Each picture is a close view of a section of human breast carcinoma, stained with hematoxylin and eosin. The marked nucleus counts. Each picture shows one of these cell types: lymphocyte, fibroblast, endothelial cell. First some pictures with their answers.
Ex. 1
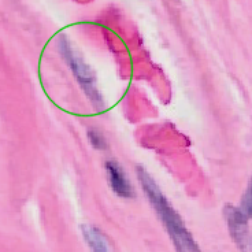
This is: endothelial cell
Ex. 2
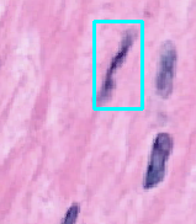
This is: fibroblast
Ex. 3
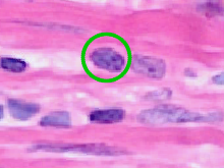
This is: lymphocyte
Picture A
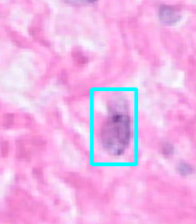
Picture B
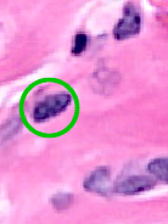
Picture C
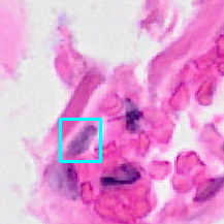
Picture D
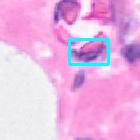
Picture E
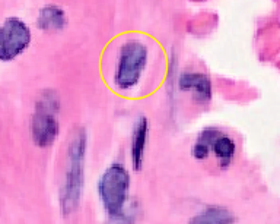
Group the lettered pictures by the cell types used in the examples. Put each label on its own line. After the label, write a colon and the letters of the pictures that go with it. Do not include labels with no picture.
lymphocyte: B, E
fibroblast: A
endothelial cell: C, D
